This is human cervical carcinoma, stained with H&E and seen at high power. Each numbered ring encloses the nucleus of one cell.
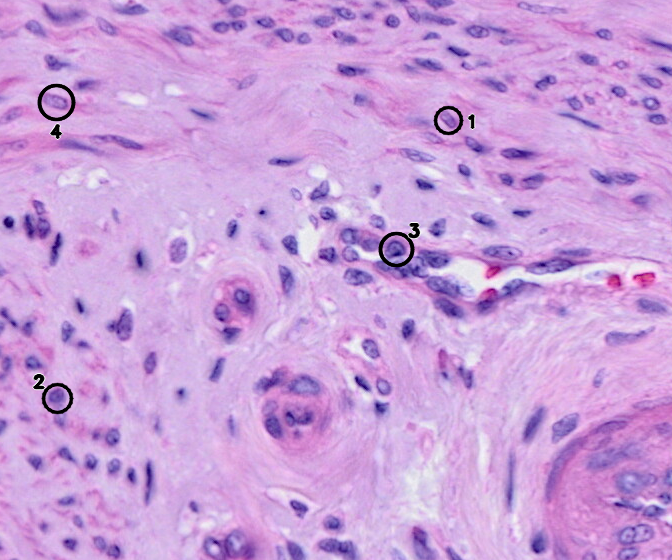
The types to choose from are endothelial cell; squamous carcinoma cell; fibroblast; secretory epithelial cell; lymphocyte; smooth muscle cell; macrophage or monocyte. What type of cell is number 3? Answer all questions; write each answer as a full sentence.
The cell that is numbered 3 is an endothelial cell.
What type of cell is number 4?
Nucleus 4 in this section belongs to a smooth muscle cell.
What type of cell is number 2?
The label 2 in this section denotes a smooth muscle cell.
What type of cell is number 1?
The correct answer for cell 1 is a smooth muscle cell.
